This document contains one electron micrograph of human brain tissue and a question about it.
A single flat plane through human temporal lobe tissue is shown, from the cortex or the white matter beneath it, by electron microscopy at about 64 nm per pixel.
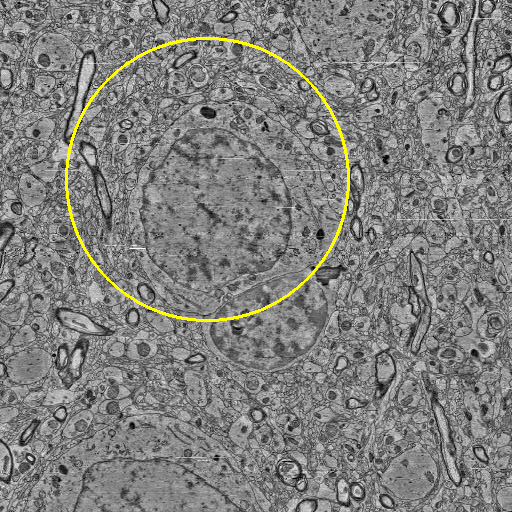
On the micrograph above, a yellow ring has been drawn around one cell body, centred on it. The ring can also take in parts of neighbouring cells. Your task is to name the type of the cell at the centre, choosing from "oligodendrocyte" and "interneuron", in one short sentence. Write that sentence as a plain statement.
Here the ring is centred on an interneuron.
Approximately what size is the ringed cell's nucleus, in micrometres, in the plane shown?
In this plane, the nucleus measures approximately 10 micrometres across.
